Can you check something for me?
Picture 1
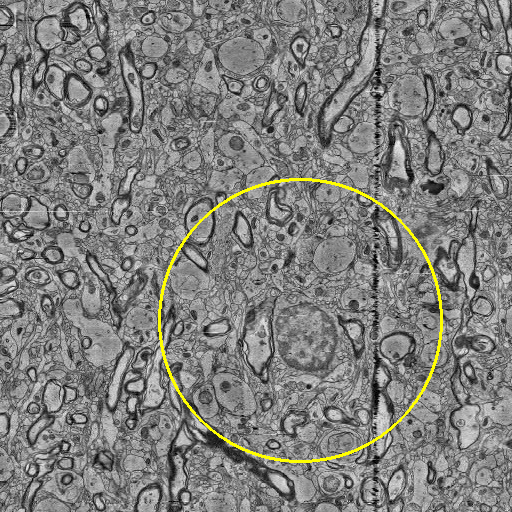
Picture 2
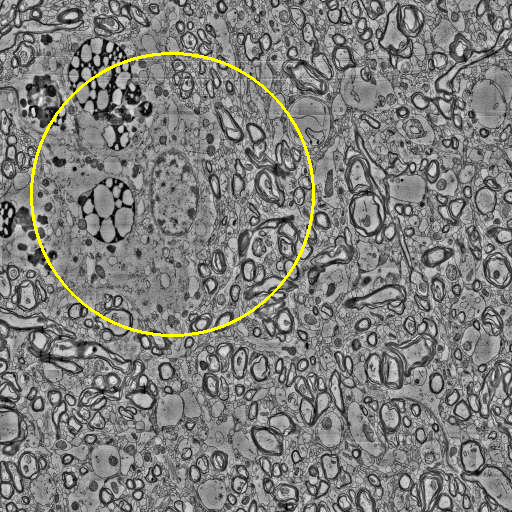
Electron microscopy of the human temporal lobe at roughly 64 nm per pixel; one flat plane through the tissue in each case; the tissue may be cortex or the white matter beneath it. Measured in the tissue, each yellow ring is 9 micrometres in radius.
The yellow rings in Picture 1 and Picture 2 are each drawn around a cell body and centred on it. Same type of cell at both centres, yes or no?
no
